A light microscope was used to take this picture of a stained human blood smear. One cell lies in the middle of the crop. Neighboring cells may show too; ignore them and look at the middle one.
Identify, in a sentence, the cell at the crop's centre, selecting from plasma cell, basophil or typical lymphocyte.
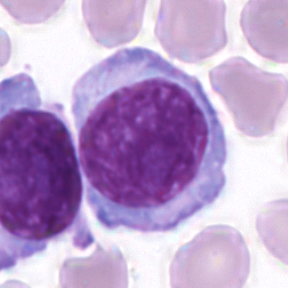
Here the centrally located cell is a plasma cell.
